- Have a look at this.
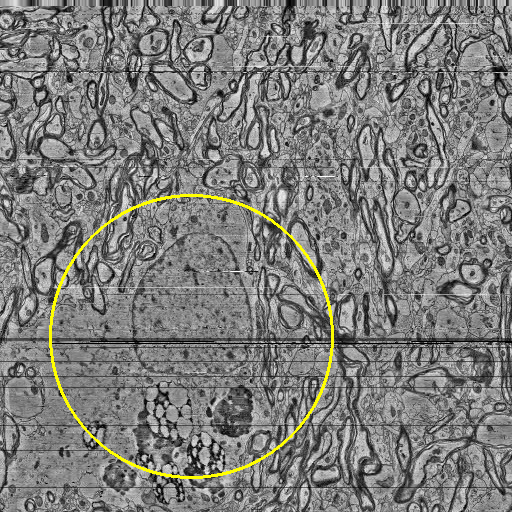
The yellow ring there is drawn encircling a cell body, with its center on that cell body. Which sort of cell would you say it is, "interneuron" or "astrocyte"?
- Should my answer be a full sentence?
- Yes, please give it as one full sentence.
For this picture, an astrocyte is the cell where the yellow ring has its center.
